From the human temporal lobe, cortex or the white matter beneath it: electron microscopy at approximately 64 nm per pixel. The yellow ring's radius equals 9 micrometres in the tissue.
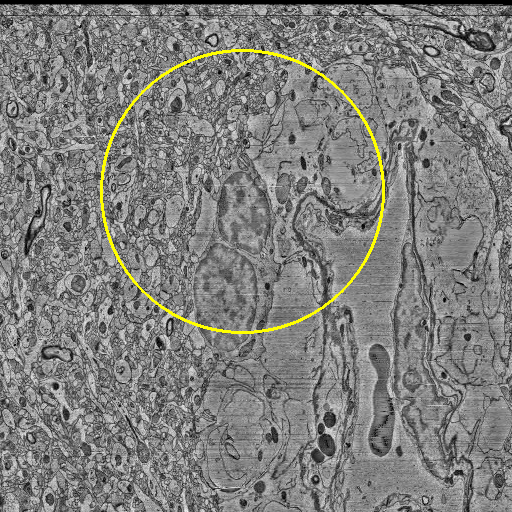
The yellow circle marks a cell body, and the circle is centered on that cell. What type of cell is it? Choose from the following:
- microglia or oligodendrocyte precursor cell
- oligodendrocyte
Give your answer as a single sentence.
This cell body belongs to an oligodendrocyte.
